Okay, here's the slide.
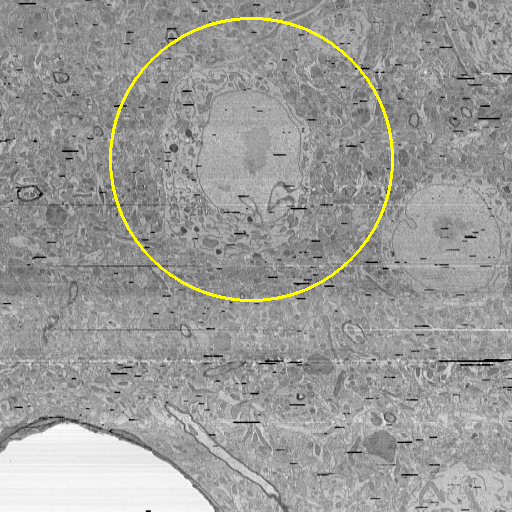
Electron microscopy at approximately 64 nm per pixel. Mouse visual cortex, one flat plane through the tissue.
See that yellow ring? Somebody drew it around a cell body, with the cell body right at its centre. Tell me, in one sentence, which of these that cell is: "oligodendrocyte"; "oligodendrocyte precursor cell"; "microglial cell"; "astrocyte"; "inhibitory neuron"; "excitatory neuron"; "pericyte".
The cell in the middle of the ring is an inhibitory neuron.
